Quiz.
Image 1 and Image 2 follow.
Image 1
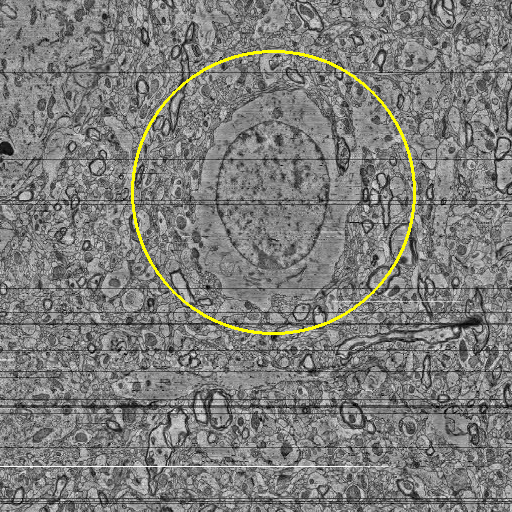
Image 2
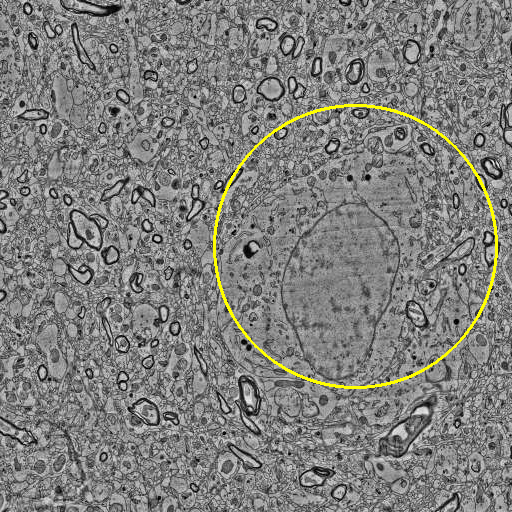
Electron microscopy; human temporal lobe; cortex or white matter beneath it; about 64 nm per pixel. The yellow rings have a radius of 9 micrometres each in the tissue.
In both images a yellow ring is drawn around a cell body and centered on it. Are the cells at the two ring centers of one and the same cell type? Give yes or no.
no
